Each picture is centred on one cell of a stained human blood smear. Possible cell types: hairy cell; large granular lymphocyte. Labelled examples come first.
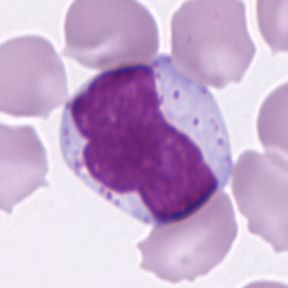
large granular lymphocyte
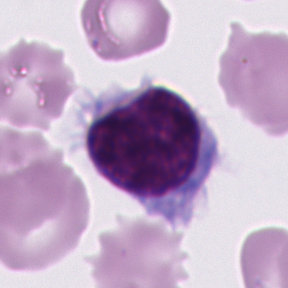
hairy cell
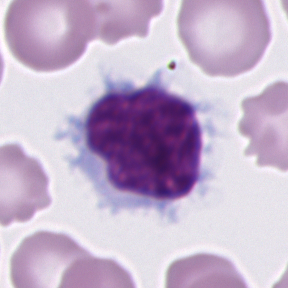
hairy cell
